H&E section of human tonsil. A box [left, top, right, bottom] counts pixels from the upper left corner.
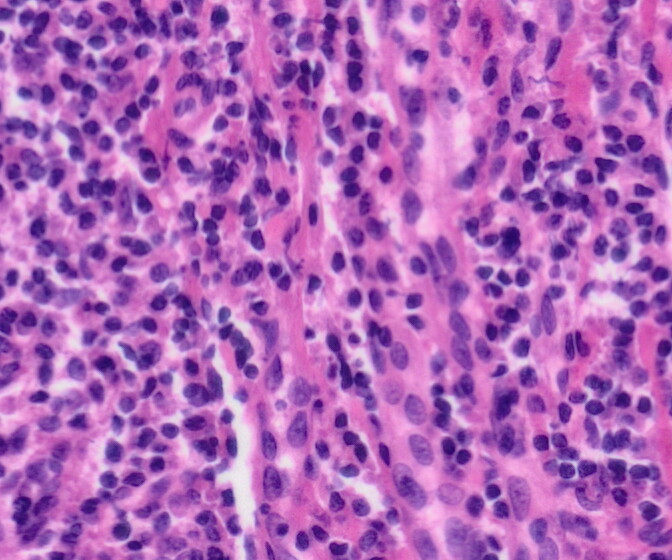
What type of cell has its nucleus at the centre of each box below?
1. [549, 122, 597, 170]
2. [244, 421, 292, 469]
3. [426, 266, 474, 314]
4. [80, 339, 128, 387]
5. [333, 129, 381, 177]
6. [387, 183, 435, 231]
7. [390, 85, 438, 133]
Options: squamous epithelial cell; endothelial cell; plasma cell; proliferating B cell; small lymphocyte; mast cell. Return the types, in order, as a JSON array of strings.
["plasma cell", "endothelial cell", "endothelial cell", "plasma cell", "plasma cell", "endothelial cell", "endothelial cell"]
